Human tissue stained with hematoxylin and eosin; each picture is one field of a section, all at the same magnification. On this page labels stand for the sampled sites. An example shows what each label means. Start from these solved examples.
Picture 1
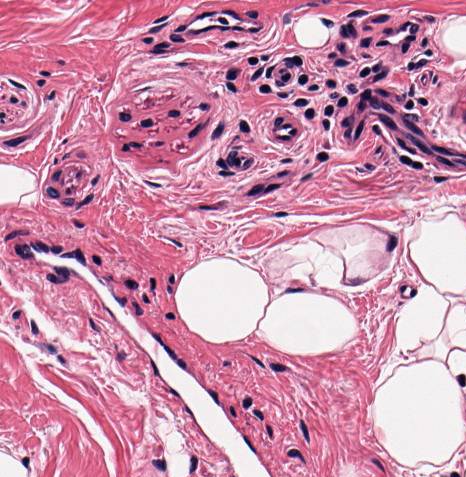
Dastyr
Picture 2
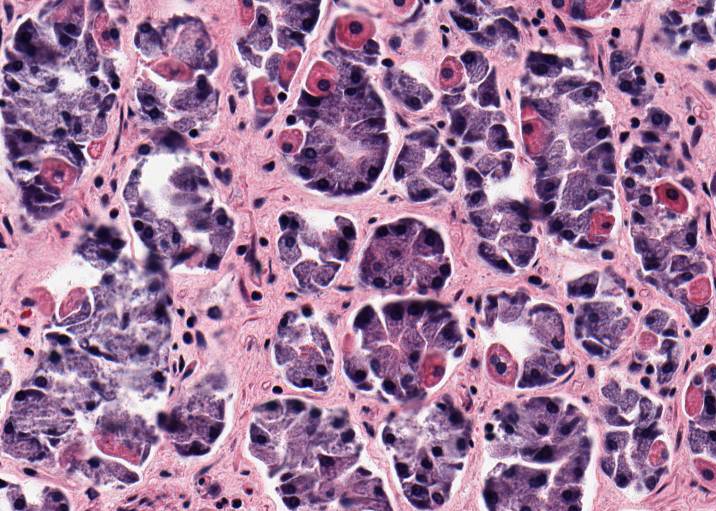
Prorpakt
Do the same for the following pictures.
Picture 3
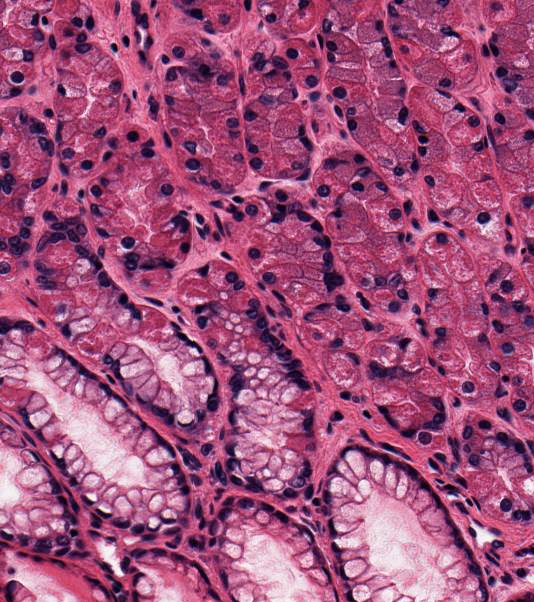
Prorpakt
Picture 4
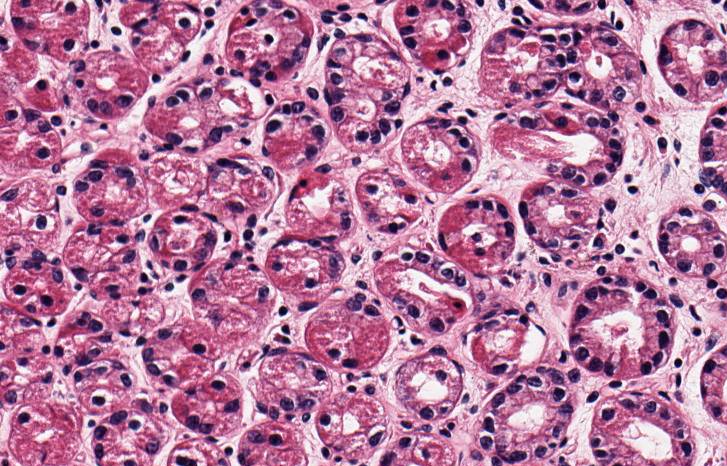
Prorpakt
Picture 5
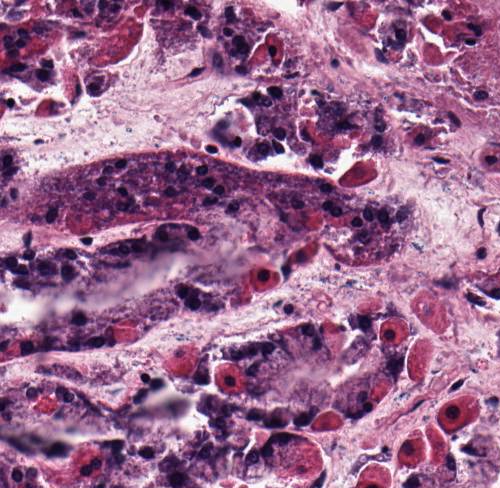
Prorpakt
